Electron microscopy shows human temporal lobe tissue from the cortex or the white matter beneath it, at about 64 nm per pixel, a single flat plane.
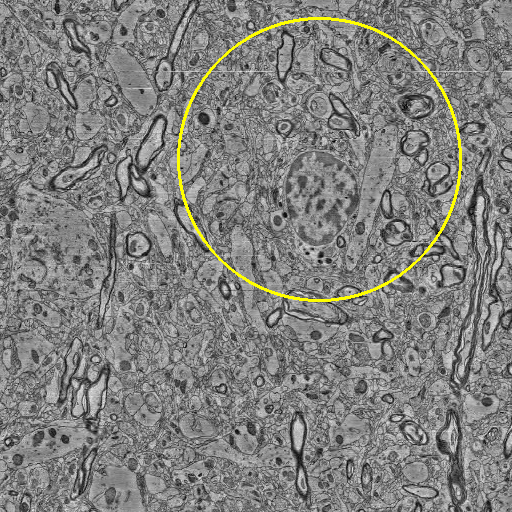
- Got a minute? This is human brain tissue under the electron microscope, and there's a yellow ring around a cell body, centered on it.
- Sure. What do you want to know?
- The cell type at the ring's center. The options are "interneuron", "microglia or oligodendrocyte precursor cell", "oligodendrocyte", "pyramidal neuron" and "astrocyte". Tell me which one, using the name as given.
microglia or oligodendrocyte precursor cell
